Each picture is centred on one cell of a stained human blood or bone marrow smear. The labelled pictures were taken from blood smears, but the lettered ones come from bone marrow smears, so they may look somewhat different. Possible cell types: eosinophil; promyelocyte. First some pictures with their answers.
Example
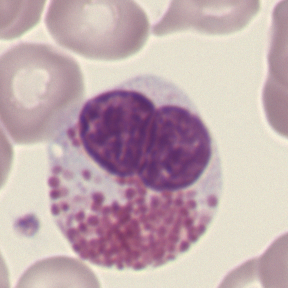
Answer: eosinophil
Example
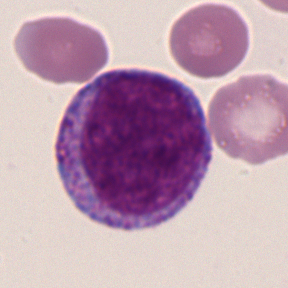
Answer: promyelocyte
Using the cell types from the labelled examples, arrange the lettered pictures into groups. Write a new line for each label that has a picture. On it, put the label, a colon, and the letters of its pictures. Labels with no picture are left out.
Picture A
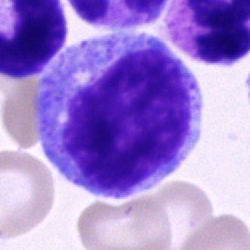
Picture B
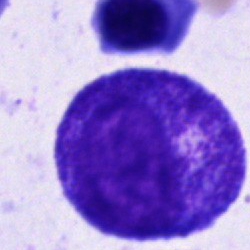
promyelocyte: A, B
